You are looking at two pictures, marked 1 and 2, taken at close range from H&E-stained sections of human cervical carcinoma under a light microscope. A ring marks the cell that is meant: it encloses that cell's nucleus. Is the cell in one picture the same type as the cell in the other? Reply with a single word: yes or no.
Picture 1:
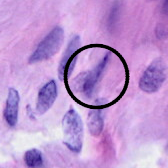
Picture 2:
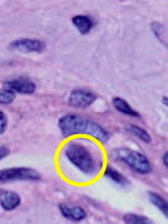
no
